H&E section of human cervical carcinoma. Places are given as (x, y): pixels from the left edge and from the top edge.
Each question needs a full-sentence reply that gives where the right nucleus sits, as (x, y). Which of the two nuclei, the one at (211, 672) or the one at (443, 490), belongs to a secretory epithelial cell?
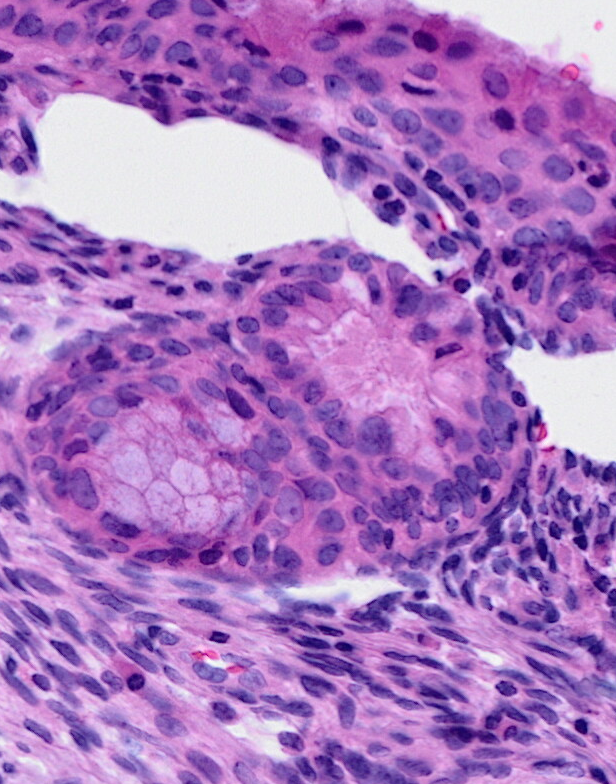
Of the two nuclei, that at (443, 490) is the nucleus of a secretory epithelial cell.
